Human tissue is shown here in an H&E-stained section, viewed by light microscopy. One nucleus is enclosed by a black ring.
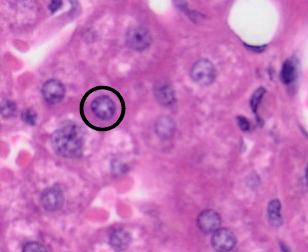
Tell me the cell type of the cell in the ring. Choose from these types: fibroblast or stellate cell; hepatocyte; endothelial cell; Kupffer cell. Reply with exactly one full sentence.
As far as its identity is concerned, the cell in the ring is a hepatocyte.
